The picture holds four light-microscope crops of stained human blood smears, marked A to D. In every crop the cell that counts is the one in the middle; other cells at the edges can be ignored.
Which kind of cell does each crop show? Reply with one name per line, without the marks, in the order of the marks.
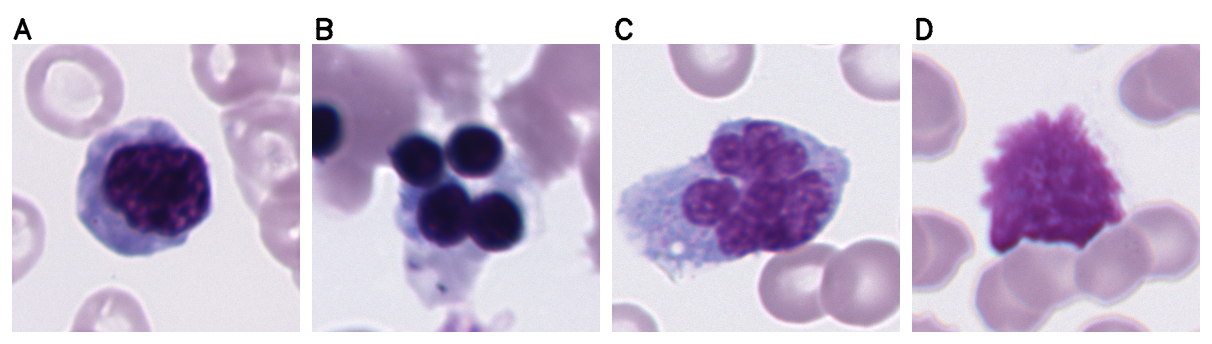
normoblast
normoblast
monocyte
smudge cell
